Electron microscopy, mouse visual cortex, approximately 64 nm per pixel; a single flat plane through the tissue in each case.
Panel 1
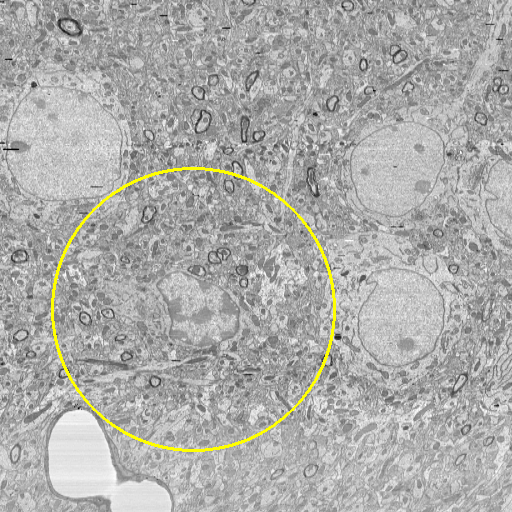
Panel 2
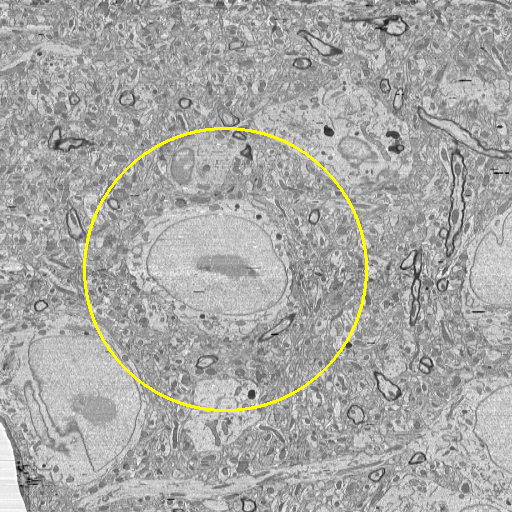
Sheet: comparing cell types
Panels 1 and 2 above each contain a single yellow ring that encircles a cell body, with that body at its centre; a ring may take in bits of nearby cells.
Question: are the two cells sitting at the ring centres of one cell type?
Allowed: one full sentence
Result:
No, the ring-centre cells in Panel 1 and Panel 2 are of two types.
